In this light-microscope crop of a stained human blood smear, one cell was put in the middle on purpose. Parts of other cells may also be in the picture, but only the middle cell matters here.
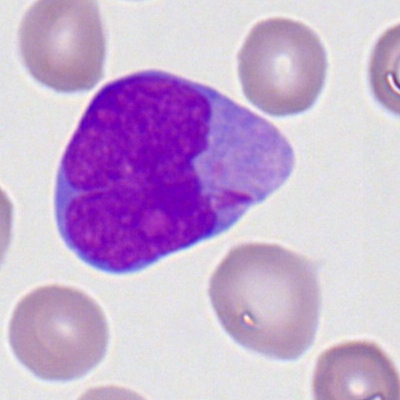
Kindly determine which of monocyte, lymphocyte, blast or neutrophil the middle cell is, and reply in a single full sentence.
The cell at the middle of the crop is recognized as a blast.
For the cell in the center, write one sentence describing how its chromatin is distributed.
The chromatin remains finely textured, with no coarse clumps to speak of.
